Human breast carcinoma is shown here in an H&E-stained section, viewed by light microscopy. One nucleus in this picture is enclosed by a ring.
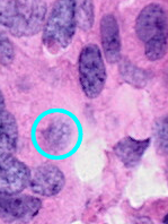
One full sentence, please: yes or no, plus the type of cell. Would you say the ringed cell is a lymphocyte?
No, score the ringed cell as a carcinoma cell; it is not a lymphocyte.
